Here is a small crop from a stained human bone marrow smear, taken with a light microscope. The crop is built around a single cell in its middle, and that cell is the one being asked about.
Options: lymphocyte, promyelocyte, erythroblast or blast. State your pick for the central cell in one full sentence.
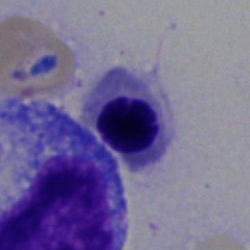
In the center of this field lies an erythroblast.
